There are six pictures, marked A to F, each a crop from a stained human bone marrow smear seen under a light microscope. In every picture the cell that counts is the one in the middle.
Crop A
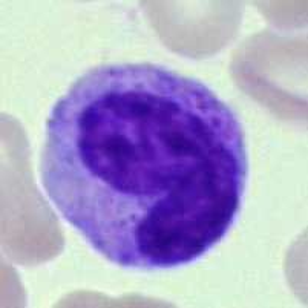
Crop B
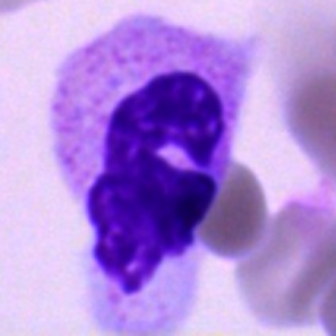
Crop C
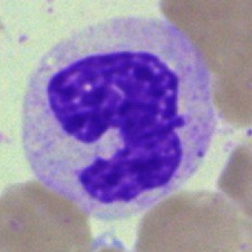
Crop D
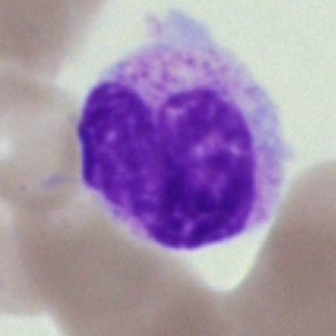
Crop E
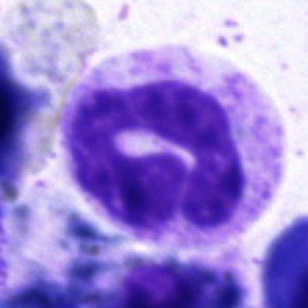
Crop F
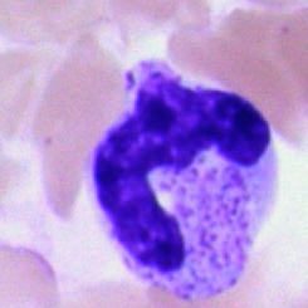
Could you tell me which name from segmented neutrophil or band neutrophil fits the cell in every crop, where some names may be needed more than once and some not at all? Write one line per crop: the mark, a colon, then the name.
A: band neutrophil
B: segmented neutrophil
C: segmented neutrophil
D: band neutrophil
E: band neutrophil
F: segmented neutrophil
